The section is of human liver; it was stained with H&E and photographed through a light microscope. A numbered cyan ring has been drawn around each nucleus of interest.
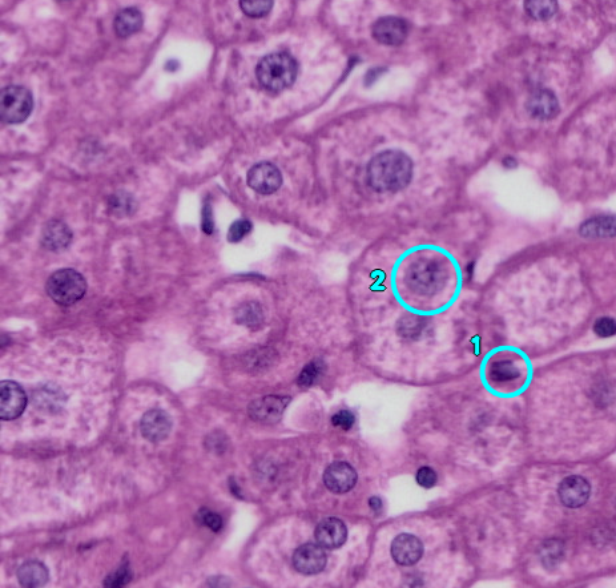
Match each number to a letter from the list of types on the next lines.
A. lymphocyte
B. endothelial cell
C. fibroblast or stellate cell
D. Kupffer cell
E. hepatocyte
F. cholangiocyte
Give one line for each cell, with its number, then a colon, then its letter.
1: B
2: E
